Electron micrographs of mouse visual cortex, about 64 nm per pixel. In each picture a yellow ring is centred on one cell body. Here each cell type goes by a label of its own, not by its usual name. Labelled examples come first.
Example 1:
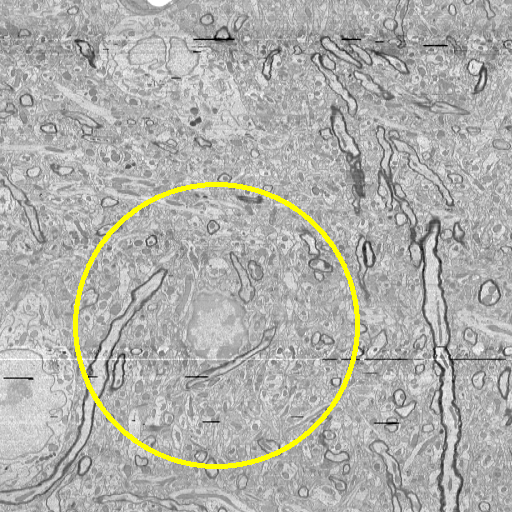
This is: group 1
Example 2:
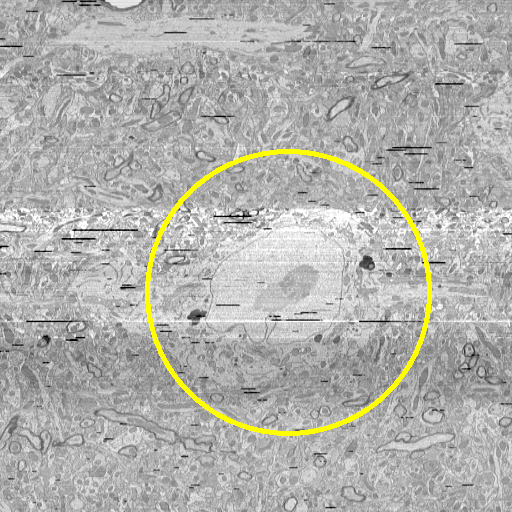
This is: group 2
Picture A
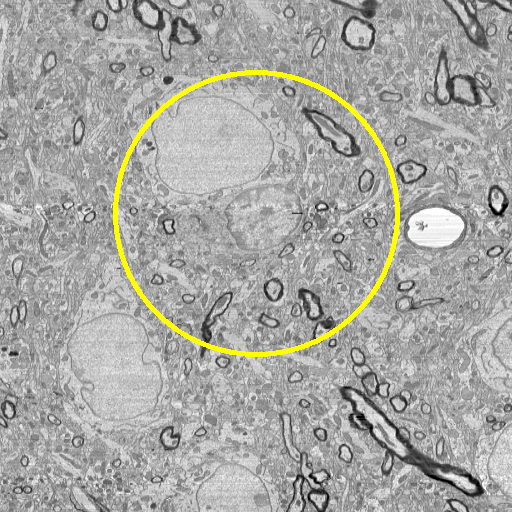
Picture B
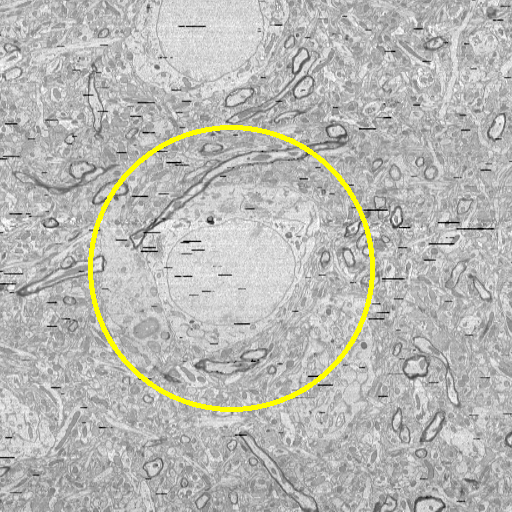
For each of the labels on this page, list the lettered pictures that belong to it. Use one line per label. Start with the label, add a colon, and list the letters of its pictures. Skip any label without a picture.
group 1: A
group 2: B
